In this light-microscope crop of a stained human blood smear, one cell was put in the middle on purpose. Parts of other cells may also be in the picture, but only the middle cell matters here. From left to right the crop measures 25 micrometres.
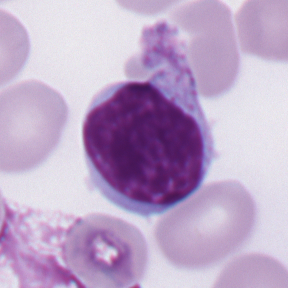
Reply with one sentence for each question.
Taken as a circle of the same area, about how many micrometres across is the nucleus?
The nucleus is about 10 micrometres across.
